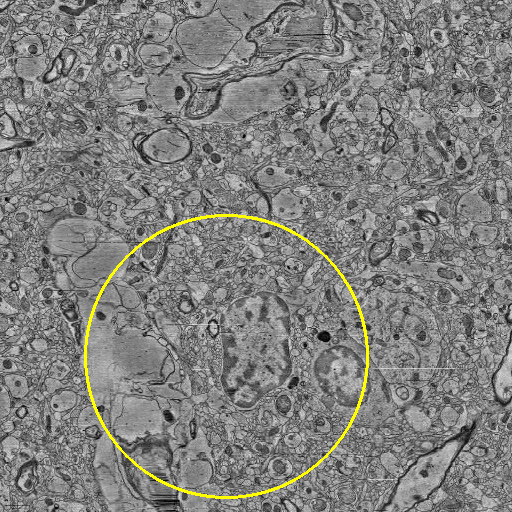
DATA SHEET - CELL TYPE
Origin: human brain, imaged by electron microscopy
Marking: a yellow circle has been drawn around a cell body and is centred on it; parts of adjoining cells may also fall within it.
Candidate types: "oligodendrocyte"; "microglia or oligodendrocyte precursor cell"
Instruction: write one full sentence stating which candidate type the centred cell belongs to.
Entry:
The cell body at the centre of the yellow ring in this micrograph belongs to a microglial cell or oligodendrocyte precursor cell.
